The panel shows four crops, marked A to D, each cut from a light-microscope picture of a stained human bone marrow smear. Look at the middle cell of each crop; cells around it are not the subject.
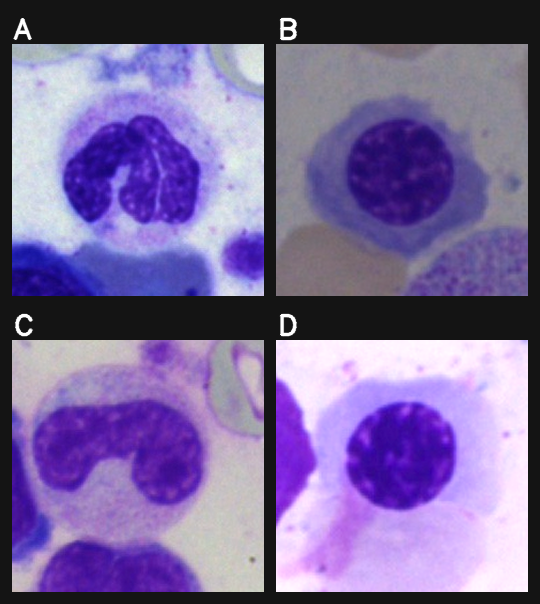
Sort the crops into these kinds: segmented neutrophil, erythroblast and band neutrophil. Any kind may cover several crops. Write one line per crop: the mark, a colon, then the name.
A: segmented neutrophil
B: erythroblast
C: band neutrophil
D: erythroblast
